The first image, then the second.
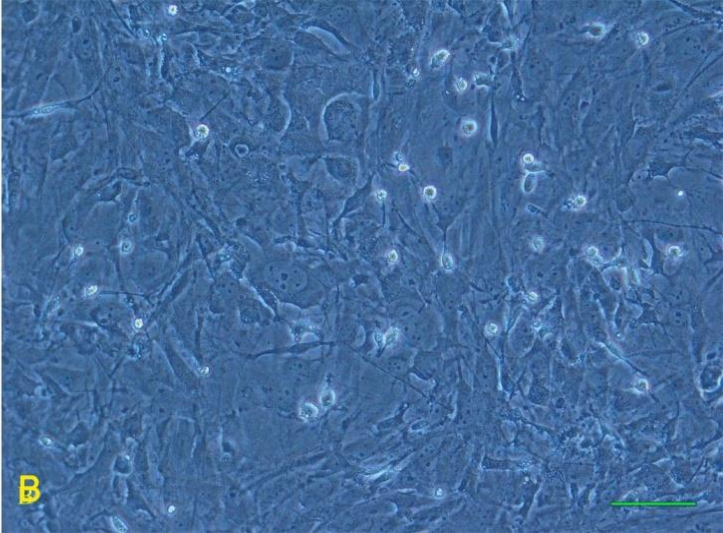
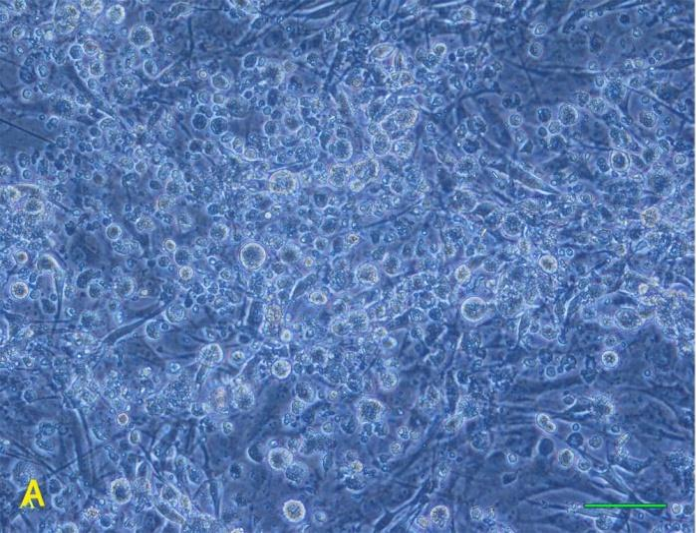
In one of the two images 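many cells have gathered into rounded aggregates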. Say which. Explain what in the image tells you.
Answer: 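First image: mostly flat, spread cells with only scattered single bright round cells. The answer: the second image.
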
